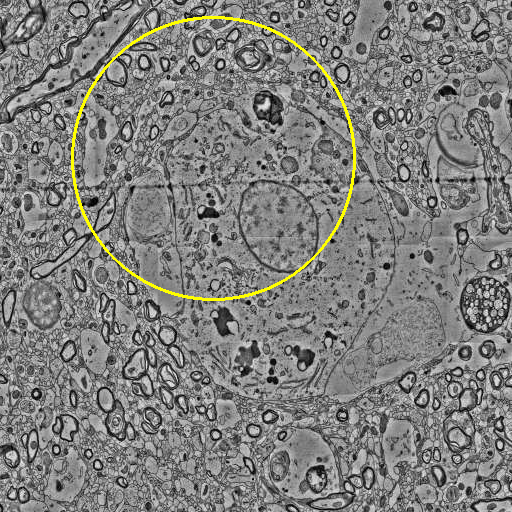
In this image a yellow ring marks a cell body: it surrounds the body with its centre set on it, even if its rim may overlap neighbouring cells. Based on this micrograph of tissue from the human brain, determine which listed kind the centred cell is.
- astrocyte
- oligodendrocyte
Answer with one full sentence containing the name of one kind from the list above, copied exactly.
It is an oligodendrocyte whose body the yellow ring encloses at its centre.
